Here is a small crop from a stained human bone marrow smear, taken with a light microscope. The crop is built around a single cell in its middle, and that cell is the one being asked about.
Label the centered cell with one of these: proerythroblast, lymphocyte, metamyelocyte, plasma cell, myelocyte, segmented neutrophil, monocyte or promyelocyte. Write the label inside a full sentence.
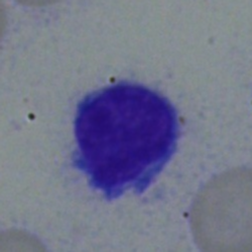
By type, the central cell of the crop is a lymphocyte.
